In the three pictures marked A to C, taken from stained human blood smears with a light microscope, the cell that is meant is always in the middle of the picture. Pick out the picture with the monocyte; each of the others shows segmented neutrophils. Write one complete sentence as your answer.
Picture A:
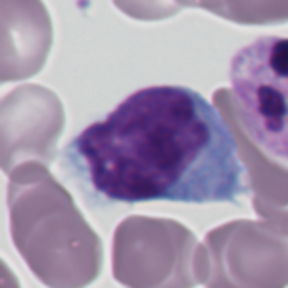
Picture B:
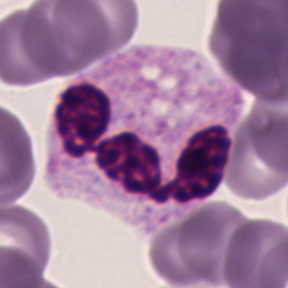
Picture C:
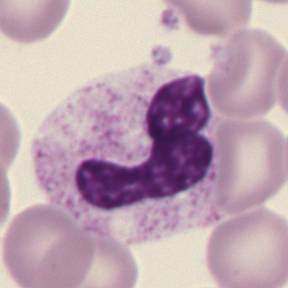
Picture A shows the monocyte.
